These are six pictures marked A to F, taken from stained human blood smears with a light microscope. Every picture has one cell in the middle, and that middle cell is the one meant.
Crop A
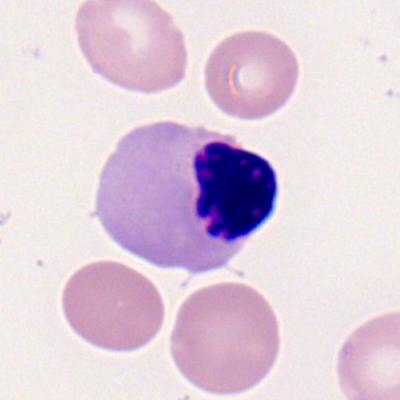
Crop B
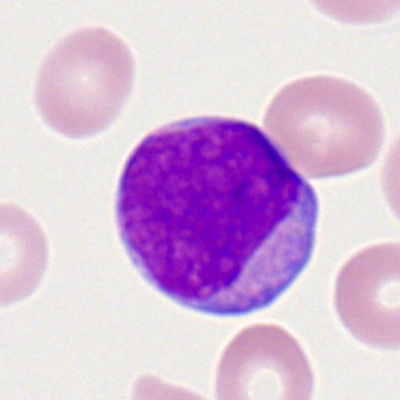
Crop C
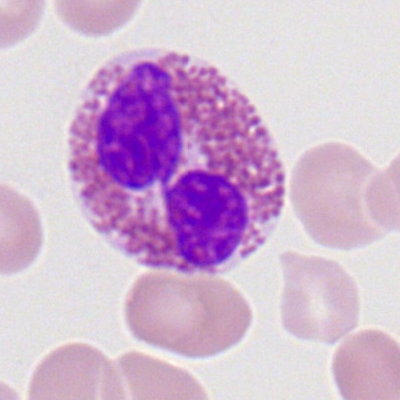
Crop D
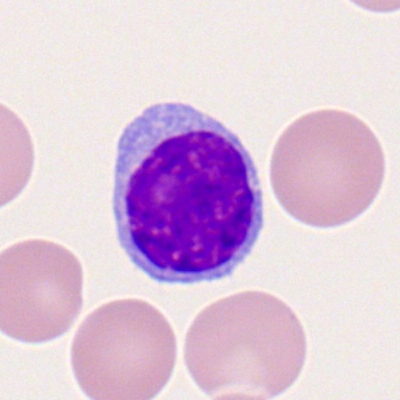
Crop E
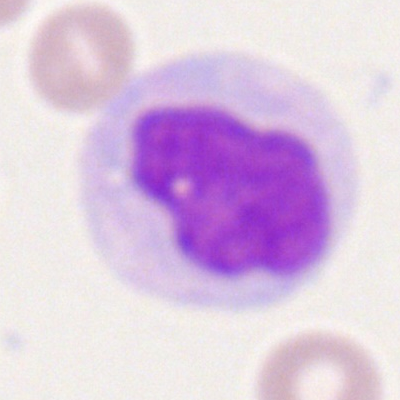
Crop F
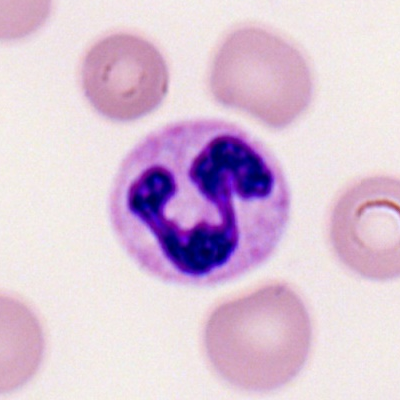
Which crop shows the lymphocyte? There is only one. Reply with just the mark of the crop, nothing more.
D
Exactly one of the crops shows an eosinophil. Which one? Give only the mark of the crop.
C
